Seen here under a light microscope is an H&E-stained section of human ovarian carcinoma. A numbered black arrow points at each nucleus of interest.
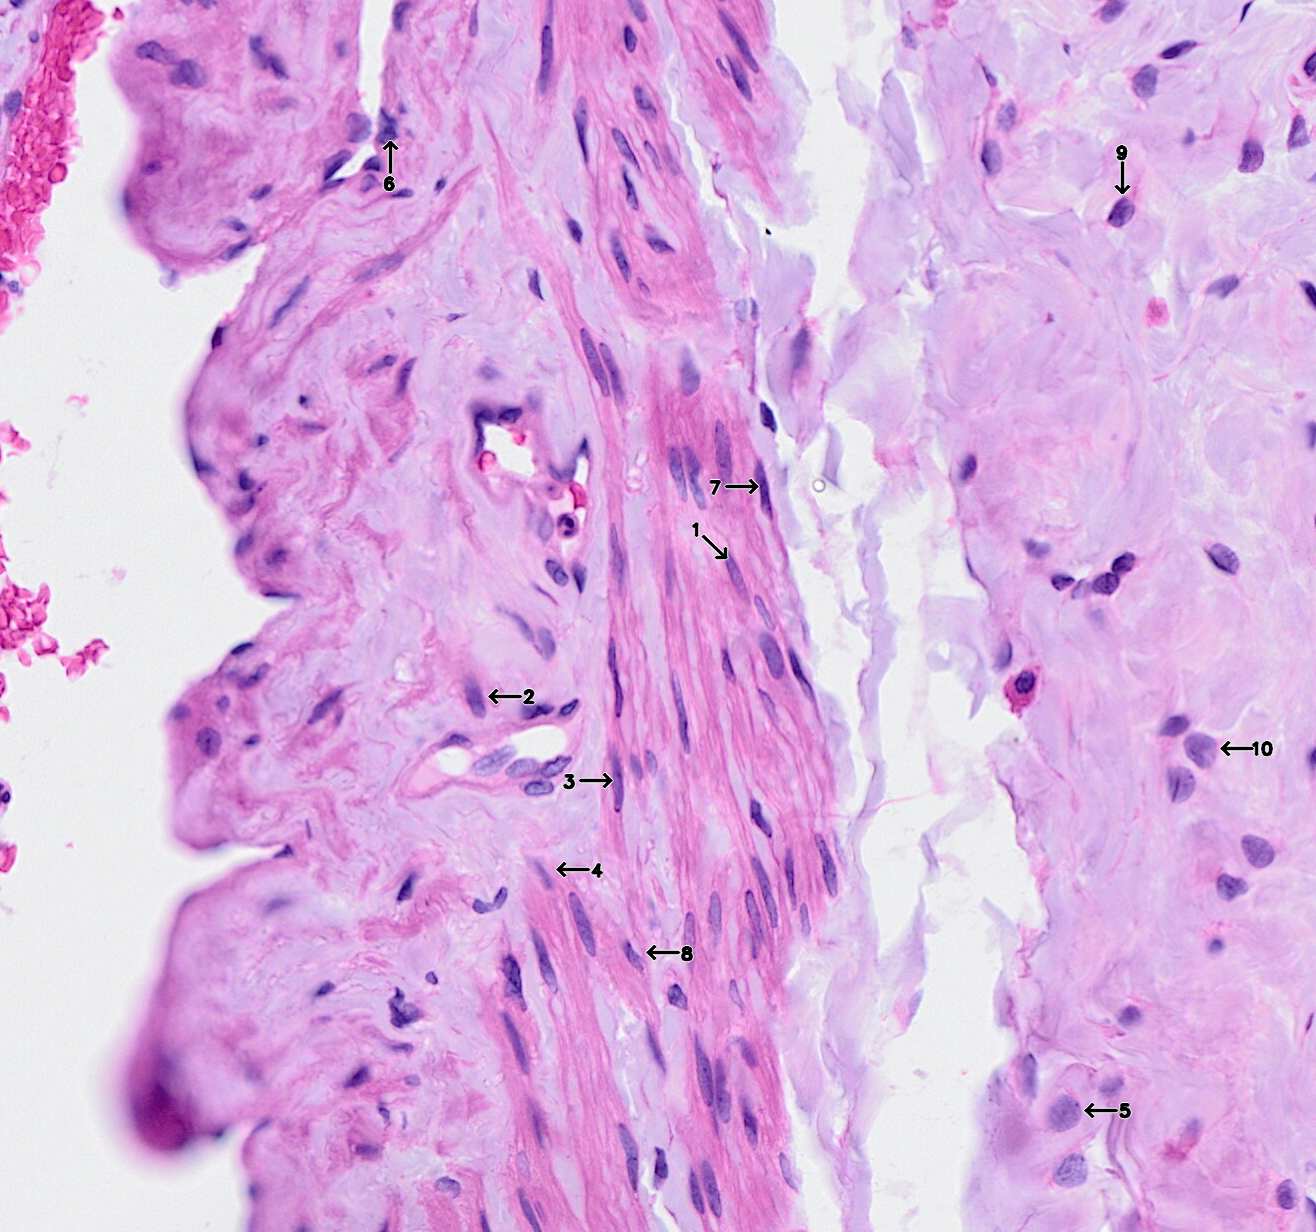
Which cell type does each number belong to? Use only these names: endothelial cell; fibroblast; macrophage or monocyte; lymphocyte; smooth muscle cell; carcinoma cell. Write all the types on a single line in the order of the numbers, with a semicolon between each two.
smooth muscle cell; smooth muscle cell; smooth muscle cell; smooth muscle cell; fibroblast; endothelial cell; smooth muscle cell; smooth muscle cell; fibroblast; fibroblast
